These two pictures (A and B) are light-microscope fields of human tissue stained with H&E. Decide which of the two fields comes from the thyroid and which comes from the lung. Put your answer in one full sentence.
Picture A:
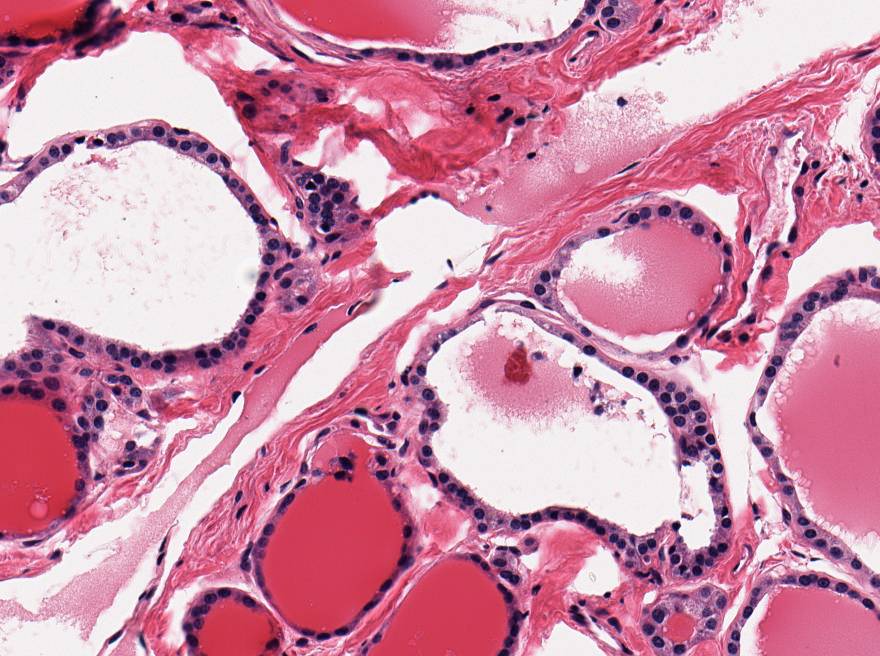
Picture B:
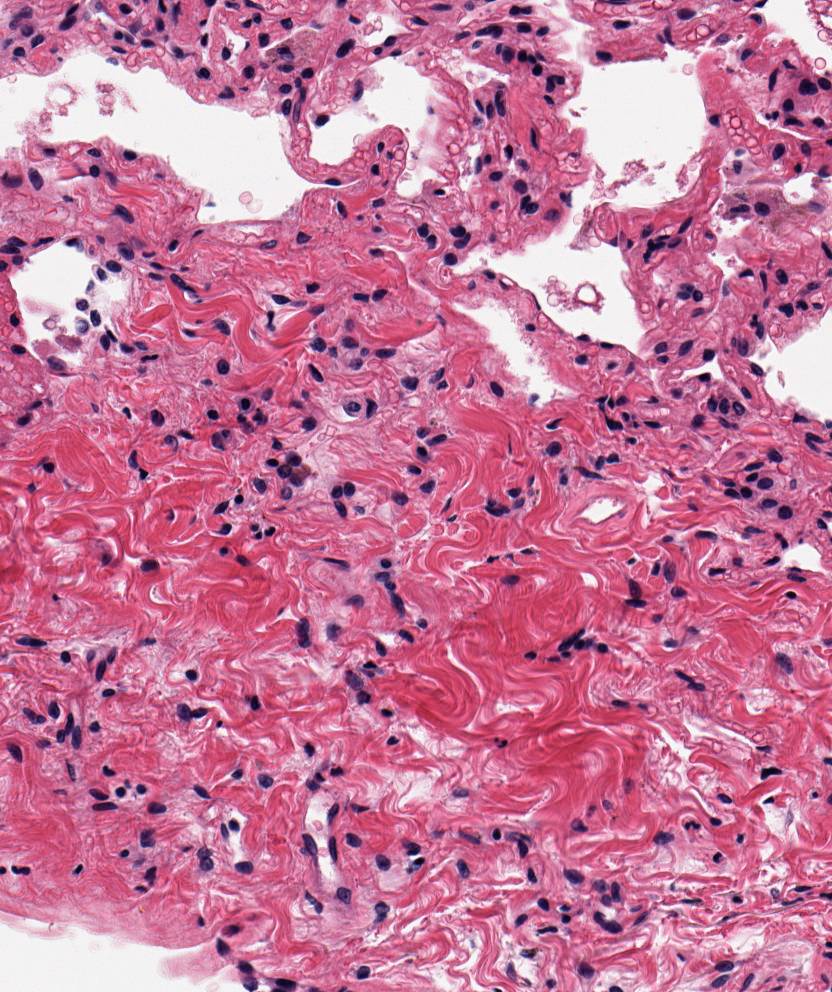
It is picture A that comes from the thyroid, and picture B that comes from the lung.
